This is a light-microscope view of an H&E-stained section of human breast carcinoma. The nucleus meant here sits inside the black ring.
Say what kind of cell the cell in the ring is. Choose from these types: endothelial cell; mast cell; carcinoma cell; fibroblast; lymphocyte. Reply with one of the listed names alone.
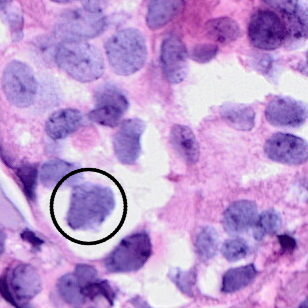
carcinoma cell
